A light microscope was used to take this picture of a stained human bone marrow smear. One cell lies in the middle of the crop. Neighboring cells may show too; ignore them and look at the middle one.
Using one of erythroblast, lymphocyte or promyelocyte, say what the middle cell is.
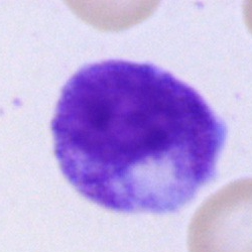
promyelocyte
